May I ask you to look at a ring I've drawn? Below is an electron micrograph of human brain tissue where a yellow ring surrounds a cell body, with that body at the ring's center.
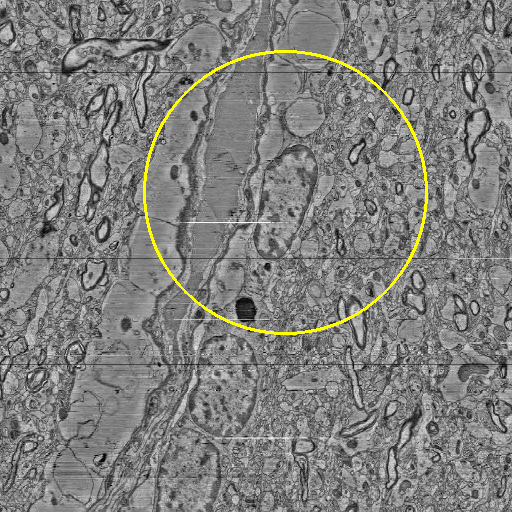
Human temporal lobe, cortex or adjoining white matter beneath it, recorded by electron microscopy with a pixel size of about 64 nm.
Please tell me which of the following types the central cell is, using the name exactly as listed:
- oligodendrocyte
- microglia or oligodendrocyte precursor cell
microglia or oligodendrocyte precursor cell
